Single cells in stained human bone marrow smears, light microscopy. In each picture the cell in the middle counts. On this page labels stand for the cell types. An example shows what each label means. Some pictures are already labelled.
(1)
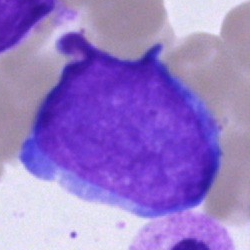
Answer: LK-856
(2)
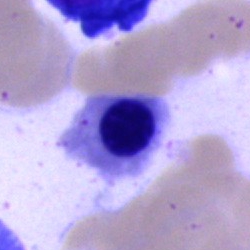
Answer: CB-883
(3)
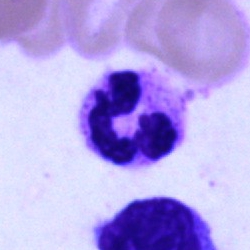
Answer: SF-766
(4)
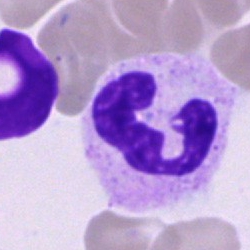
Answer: SF-766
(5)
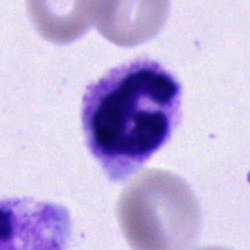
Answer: SF-766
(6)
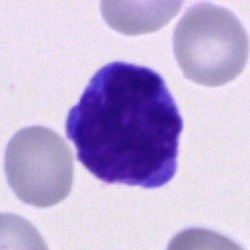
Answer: LK-856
